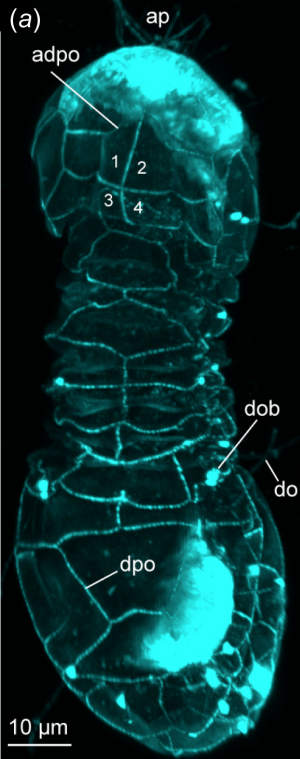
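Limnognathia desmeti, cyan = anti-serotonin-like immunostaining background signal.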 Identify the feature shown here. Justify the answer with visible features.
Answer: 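The body surface is divided into polygonal fields outlined by thin cyan lines. The outlined fields tile the whole dorsal surface from head to tail.
Answer: epidermal plates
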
